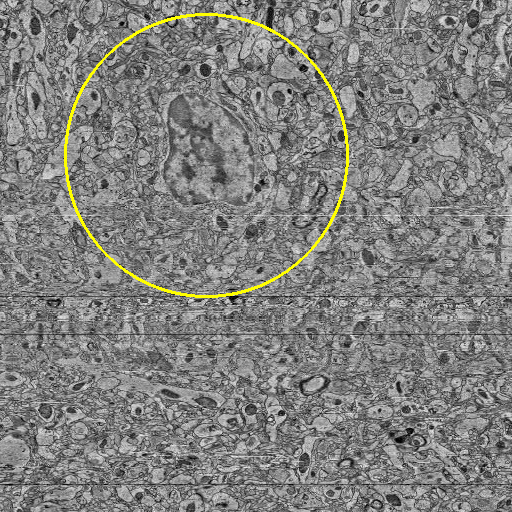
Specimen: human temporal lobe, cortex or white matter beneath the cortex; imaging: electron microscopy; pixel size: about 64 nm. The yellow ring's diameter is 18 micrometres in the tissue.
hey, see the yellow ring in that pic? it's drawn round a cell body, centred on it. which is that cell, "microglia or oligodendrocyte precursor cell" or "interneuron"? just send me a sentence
The cell in the ring is a microglial cell or oligodendrocyte precursor cell.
